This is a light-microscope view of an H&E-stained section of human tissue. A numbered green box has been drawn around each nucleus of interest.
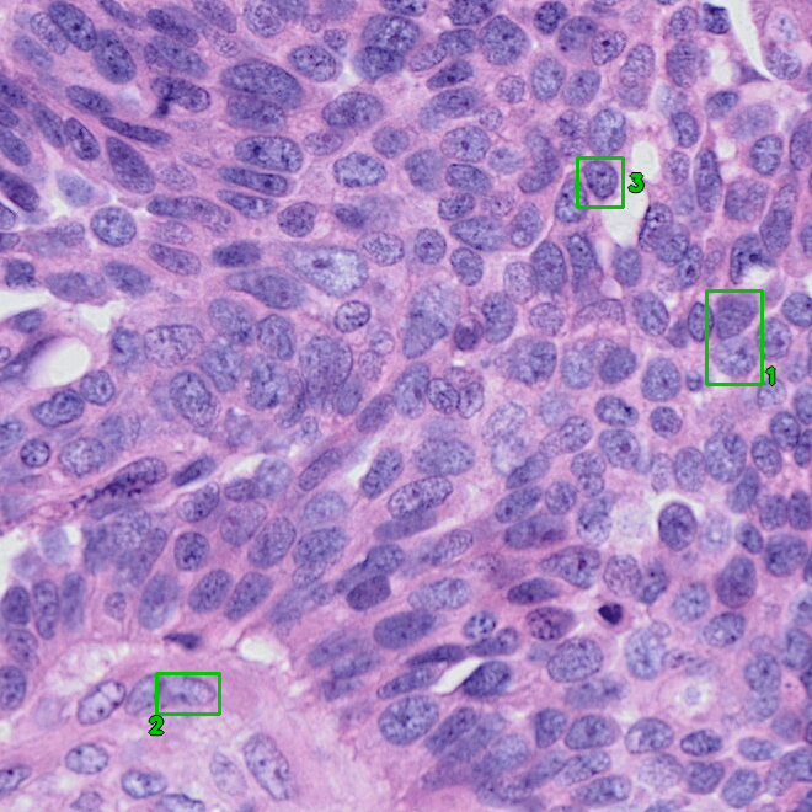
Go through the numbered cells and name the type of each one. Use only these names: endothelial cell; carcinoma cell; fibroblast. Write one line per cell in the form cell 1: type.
cell 1: carcinoma cell
cell 2: fibroblast
cell 3: carcinoma cell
